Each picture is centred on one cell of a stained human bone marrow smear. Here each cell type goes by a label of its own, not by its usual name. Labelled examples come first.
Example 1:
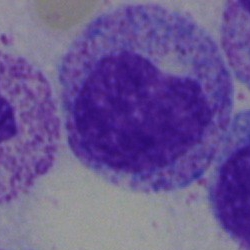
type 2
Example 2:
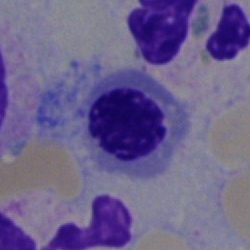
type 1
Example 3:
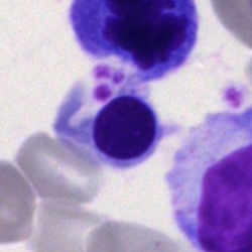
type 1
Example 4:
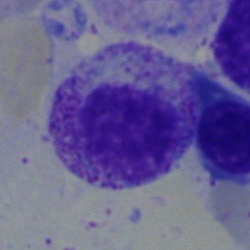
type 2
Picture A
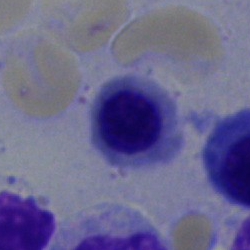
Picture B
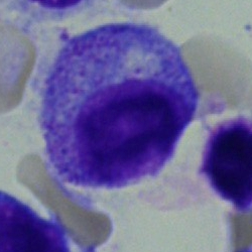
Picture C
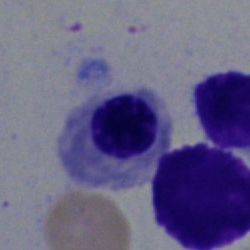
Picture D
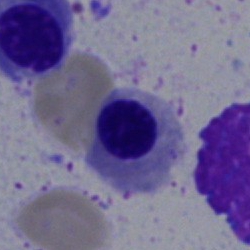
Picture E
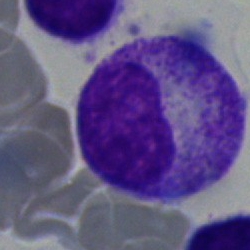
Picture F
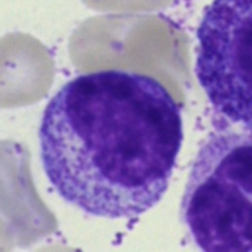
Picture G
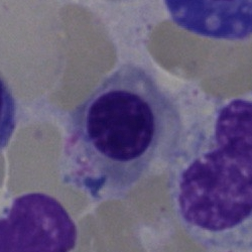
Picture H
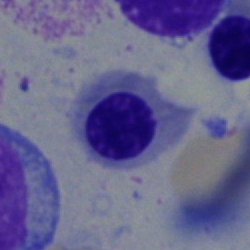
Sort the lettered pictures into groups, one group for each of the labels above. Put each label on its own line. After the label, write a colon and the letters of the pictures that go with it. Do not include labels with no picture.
type 2: B, E, F
type 1: A, C, D, G, H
